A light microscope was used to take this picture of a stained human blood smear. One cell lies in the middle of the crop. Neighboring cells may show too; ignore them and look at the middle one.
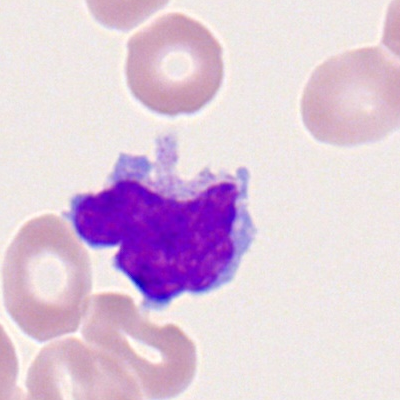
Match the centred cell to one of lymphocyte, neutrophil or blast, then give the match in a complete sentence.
The crop shows a lymphocyte in its centre.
